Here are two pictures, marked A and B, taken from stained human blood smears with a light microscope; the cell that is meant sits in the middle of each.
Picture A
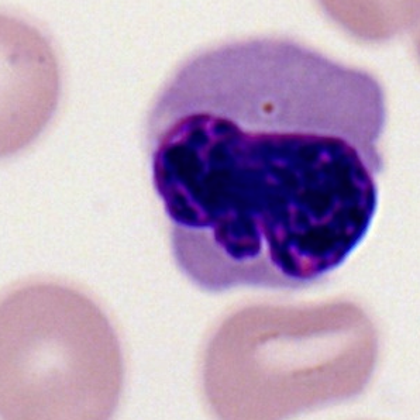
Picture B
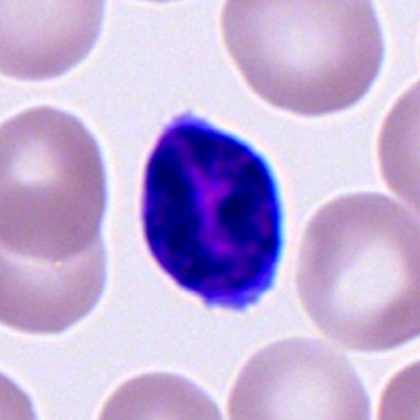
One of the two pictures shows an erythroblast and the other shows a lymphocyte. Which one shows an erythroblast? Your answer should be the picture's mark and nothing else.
A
